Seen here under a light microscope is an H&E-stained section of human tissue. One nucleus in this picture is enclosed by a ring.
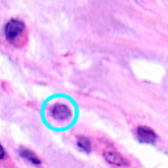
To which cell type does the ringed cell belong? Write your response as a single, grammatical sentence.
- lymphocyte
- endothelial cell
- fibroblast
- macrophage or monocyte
In cell-type terms, the ringed cell is a lymphocyte.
